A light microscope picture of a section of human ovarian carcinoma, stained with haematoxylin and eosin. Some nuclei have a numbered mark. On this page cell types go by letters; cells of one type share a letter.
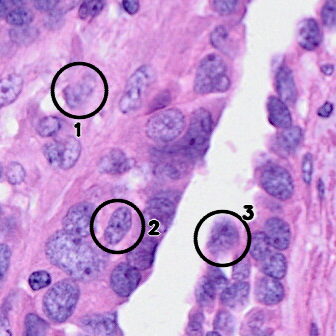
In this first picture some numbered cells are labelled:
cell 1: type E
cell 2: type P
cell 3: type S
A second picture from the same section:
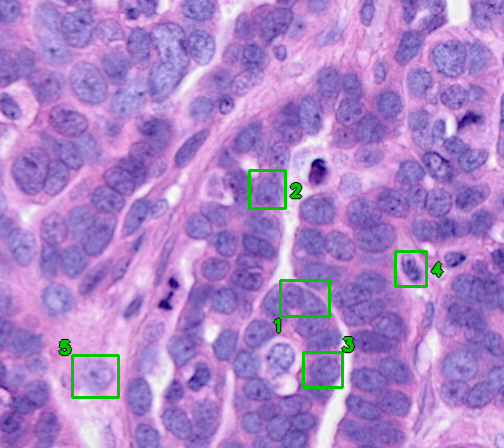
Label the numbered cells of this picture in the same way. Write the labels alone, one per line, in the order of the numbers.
type S
type S
type S
type P
type E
